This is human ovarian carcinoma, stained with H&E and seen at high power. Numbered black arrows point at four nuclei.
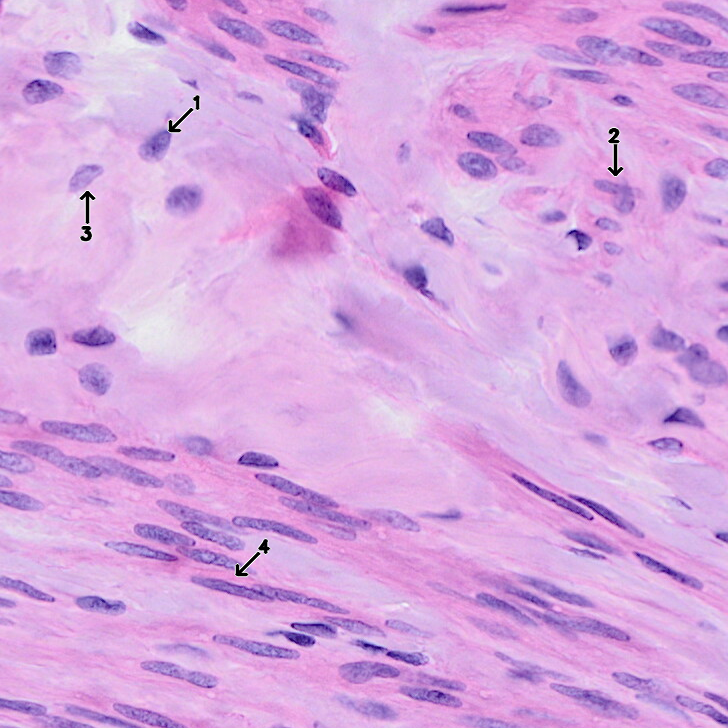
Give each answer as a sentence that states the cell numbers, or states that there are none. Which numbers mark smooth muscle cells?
In this section, the cells numbered 2 and 4 are smooth muscle cells.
